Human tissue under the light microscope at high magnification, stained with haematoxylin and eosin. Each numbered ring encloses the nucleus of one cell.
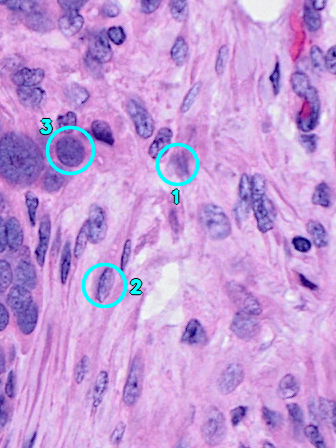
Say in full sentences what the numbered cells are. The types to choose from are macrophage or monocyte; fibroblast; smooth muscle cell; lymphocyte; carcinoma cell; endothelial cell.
Cells 1 and 2 are fibroblasts. Cell 3 is a carcinoma cell.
